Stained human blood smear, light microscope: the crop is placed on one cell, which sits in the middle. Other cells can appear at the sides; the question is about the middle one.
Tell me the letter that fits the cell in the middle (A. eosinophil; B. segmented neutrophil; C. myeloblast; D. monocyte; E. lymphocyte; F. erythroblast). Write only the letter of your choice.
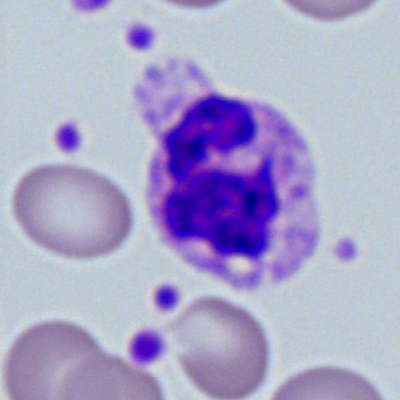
B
